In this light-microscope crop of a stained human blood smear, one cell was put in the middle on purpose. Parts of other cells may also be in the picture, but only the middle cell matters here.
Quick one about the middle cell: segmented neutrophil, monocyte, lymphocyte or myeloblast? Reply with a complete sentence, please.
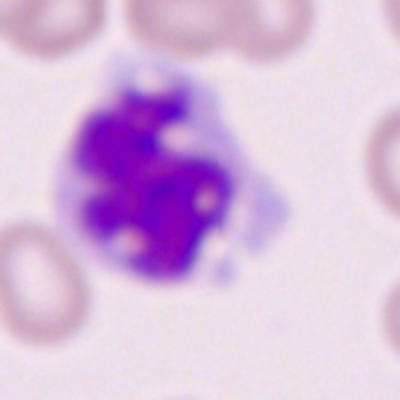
Whatever else lies nearby, the middle cell is a monocyte.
